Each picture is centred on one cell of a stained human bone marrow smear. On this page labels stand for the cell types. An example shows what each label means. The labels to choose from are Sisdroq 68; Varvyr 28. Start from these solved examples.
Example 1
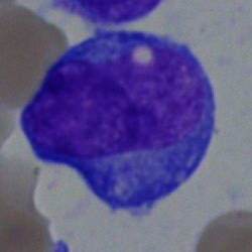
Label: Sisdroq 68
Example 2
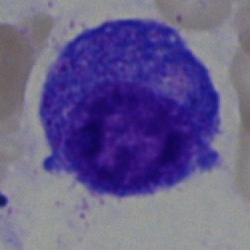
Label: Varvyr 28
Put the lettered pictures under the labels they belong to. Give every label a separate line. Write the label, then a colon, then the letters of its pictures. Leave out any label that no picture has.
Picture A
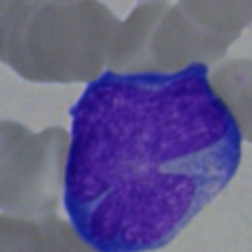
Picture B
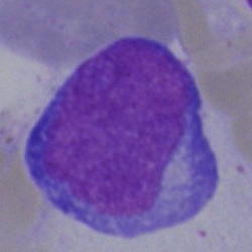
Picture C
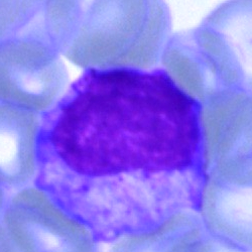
Sisdroq 68: A, B
Varvyr 28: C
